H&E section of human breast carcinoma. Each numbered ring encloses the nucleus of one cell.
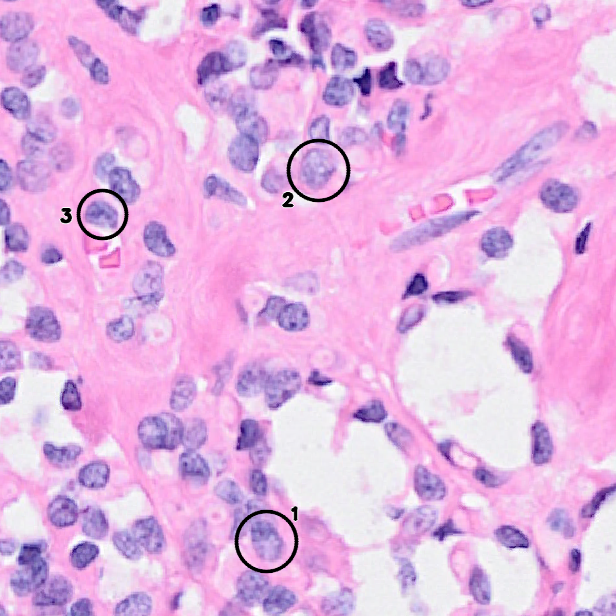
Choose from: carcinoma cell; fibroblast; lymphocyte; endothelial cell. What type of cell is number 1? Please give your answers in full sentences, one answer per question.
Cell number 1 in this section is a carcinoma cell.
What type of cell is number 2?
Numbered cell 2 is a carcinoma cell in this tissue section.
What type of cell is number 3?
Heads up, the cell numbered 3 is an endothelial cell.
